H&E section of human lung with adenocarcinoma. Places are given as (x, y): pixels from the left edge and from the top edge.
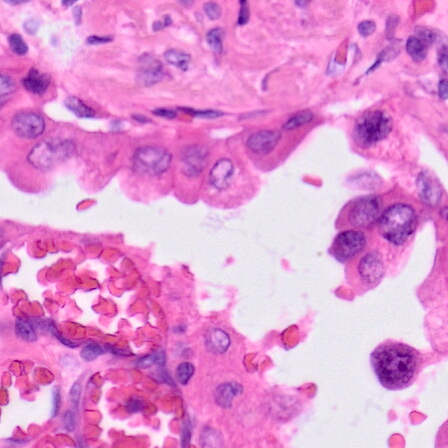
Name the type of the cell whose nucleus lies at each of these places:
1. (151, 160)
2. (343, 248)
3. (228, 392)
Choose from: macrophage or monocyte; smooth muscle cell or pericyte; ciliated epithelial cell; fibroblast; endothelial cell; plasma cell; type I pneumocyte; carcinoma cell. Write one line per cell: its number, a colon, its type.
1: carcinoma cell
2: carcinoma cell
3: macrophage or monocyte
